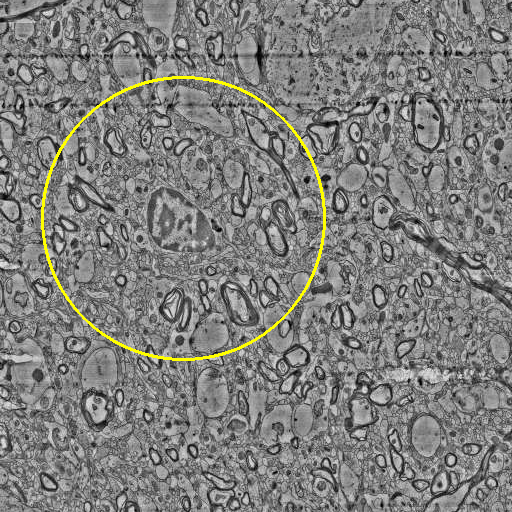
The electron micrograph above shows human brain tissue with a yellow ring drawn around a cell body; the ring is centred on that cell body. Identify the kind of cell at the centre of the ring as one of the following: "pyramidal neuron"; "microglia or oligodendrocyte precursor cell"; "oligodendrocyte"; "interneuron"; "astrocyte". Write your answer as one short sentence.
The cell at the centre of the ring is a microglial cell or oligodendrocyte precursor cell.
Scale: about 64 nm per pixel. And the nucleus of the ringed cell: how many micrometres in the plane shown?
Roughly 5 by 3 micrometres in this plane, for the nucleus of the ringed cell.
